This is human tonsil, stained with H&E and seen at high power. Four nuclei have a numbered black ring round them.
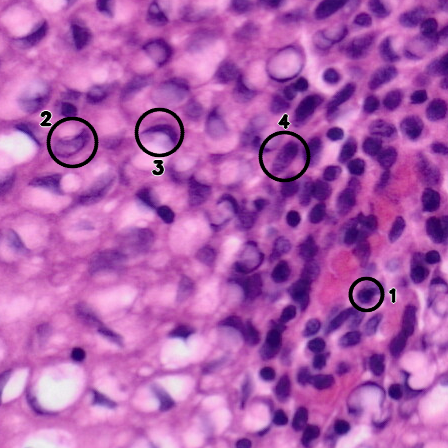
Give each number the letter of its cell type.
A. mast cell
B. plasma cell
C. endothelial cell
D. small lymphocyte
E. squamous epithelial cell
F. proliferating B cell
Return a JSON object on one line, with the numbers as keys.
{"1": "B", "2": "E", "3": "E", "4": "E"}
